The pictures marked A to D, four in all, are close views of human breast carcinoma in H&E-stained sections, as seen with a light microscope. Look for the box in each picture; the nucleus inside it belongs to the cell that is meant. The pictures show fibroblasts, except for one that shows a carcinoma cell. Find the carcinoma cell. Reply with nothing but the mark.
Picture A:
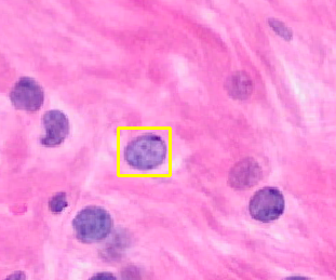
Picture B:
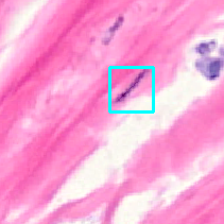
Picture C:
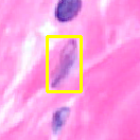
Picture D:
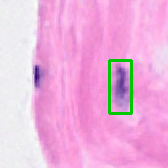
A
